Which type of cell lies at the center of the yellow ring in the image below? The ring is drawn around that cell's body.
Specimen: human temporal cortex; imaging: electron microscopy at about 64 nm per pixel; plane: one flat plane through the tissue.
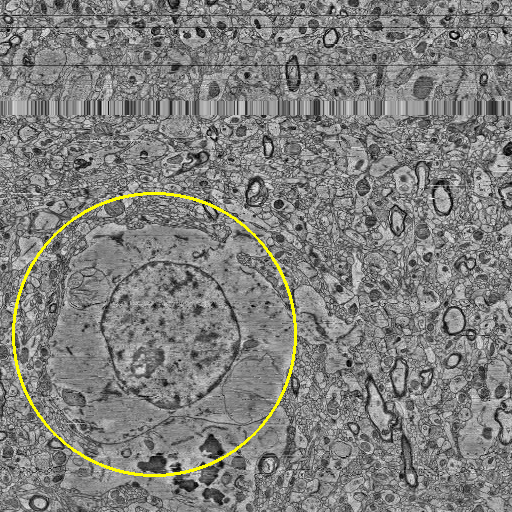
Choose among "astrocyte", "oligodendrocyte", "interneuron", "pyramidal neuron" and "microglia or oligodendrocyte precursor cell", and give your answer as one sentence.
The cell body at the center belongs to an astrocyte.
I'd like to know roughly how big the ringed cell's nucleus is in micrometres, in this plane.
Roughly 9 micrometers across in this plane.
